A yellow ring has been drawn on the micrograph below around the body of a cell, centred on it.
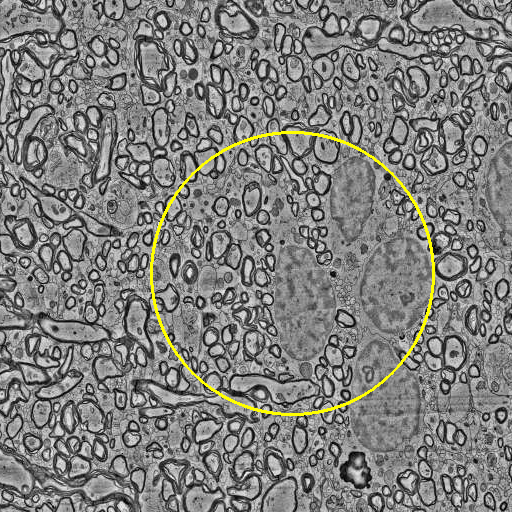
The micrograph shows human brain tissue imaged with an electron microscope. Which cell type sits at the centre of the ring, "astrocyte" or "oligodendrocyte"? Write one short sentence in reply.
The cell sitting at the centre of the ring is an oligodendrocyte.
